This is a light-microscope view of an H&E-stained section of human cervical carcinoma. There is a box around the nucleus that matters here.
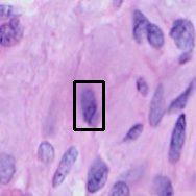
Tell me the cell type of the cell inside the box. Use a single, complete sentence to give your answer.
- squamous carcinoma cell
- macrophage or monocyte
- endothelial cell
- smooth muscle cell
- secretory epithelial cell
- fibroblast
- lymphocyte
Histopathologically, the cell inside the box is a fibroblast.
